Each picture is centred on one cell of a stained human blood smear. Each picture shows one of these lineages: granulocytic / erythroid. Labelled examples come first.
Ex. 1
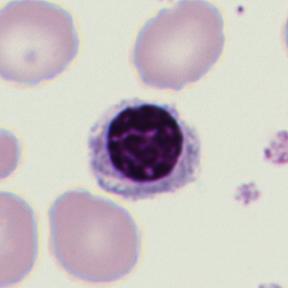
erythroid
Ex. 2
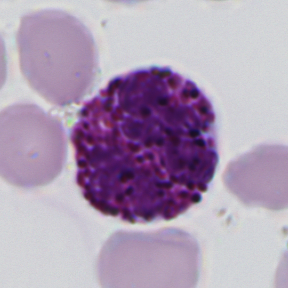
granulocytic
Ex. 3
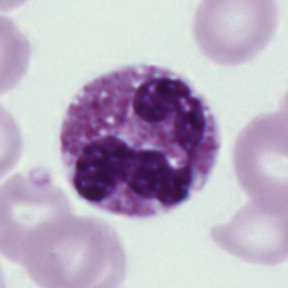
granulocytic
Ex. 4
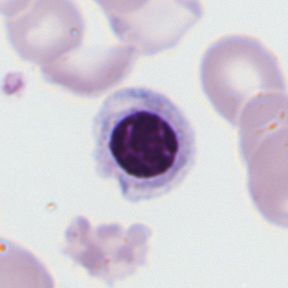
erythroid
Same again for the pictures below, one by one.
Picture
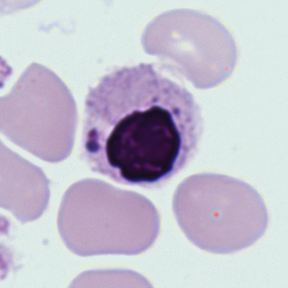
erythroid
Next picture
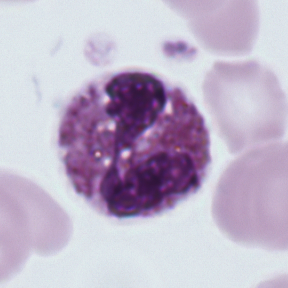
granulocytic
